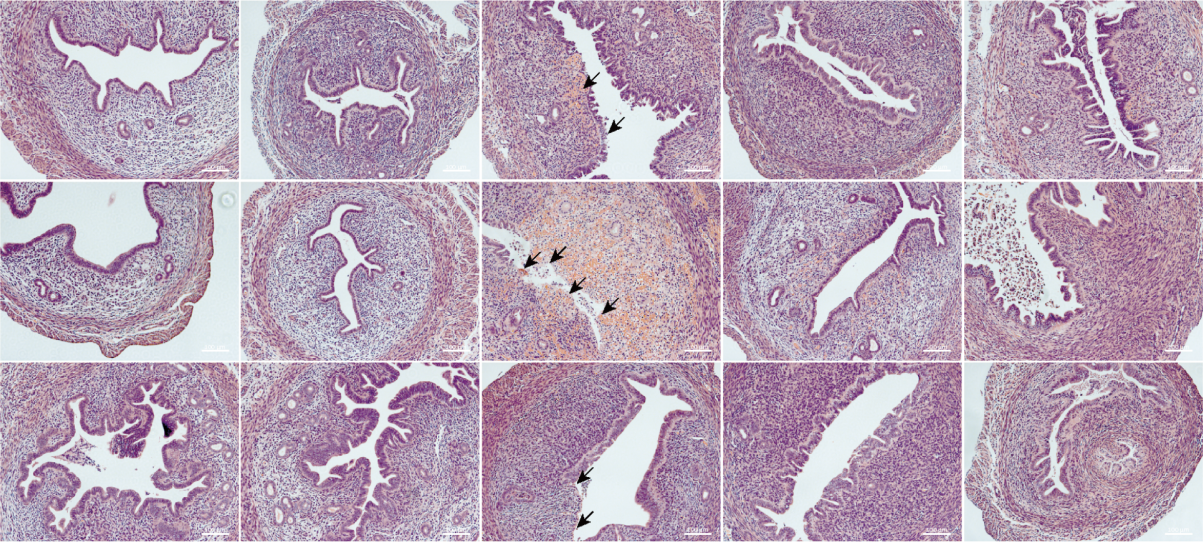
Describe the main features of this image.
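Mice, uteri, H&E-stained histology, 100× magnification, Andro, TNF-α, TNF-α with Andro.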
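Cross-sections of uterus, each with a slit-like or branched central lumen lined by a single layer of tall epithelial cells with purple nuclei. The lining is surrounded by a broad endometrial stroma of densely packed small nuclei containing scattered small glands. A paler pink ring of smooth muscle encircles the stroma in several sections. In one column the luminal lining is frayed and discontinuous, and the stroma there has an orange tinge.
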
